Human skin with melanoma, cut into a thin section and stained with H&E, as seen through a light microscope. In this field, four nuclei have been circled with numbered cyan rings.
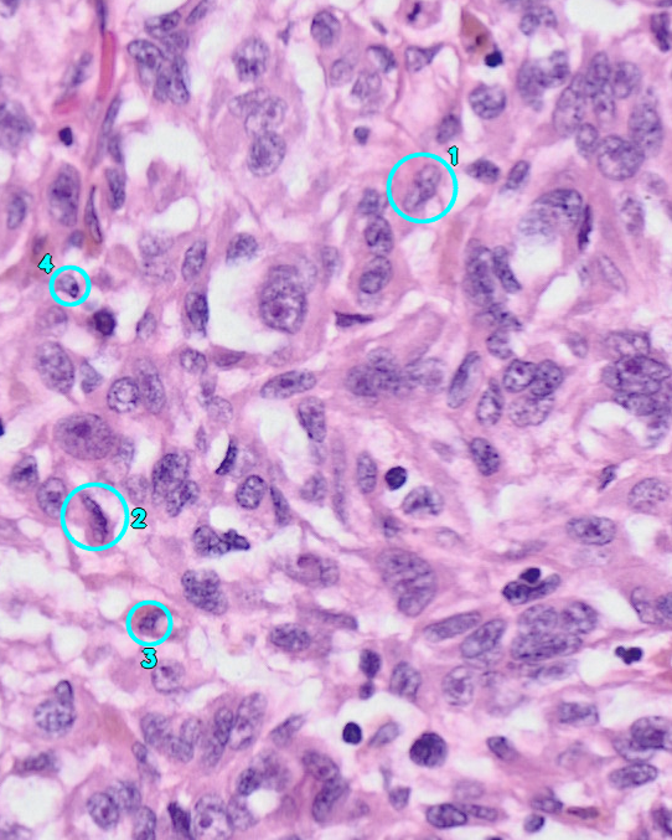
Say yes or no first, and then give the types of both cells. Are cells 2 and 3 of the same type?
No, the cell labelled 2 is a melanoma cell; the cell labelled 3 is a macrophage or monocyte.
